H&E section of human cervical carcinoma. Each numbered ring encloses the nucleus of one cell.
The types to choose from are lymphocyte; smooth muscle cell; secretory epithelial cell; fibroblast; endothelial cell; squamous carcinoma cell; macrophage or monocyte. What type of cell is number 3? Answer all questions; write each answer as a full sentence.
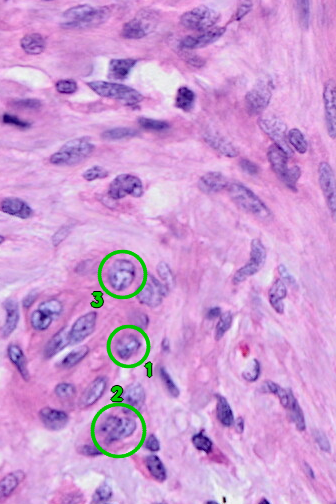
At number 3, the marked cell is a smooth muscle cell.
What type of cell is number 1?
Among the marked nuclei, number 1 belongs to a smooth muscle cell.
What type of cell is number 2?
The expected answer is that cell 2 is an endothelial cell.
